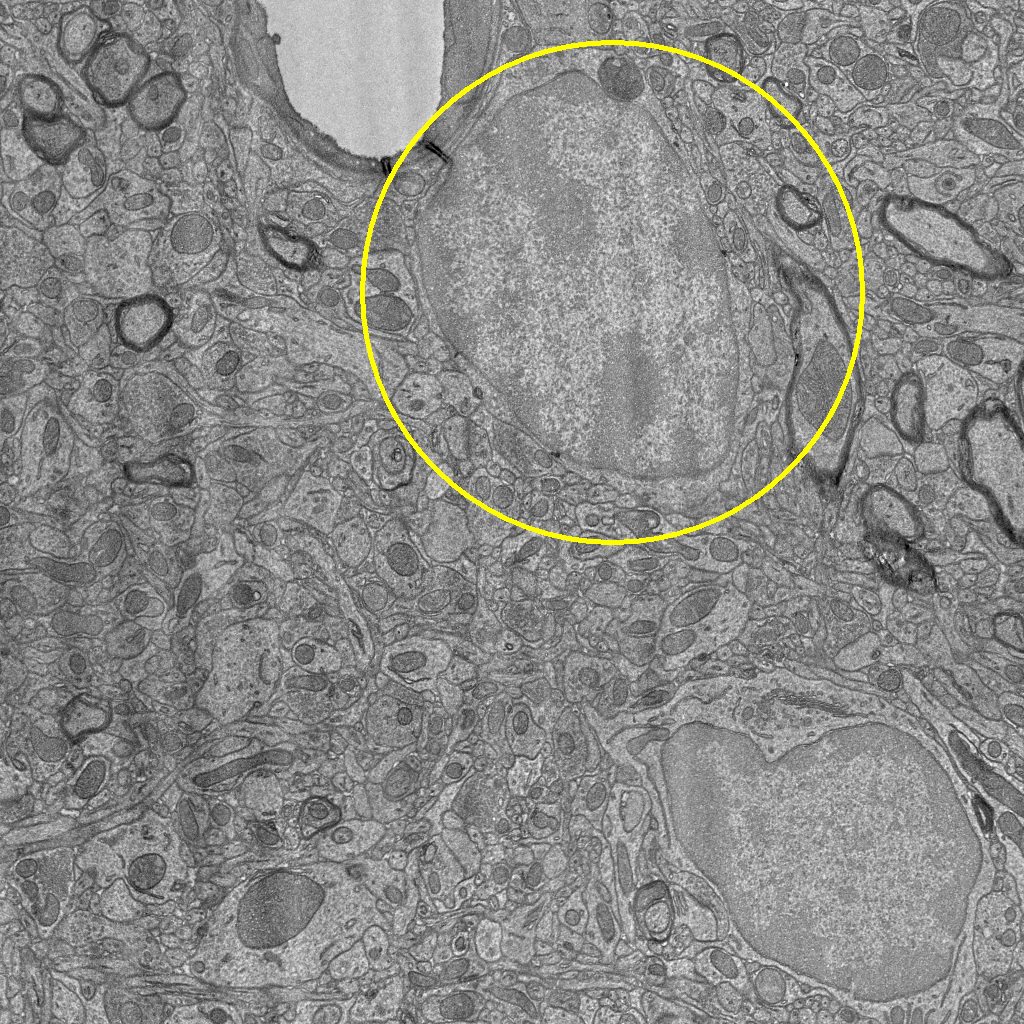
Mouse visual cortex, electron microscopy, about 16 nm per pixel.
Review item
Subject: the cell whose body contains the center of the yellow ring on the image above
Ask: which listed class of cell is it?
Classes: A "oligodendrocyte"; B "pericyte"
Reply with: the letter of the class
A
